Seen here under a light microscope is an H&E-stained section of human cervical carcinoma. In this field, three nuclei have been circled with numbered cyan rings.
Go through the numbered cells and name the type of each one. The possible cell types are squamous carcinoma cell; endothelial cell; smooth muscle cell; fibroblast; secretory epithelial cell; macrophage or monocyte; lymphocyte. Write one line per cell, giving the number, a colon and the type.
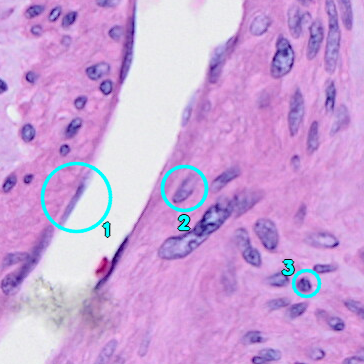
1: endothelial cell
2: smooth muscle cell
3: smooth muscle cell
